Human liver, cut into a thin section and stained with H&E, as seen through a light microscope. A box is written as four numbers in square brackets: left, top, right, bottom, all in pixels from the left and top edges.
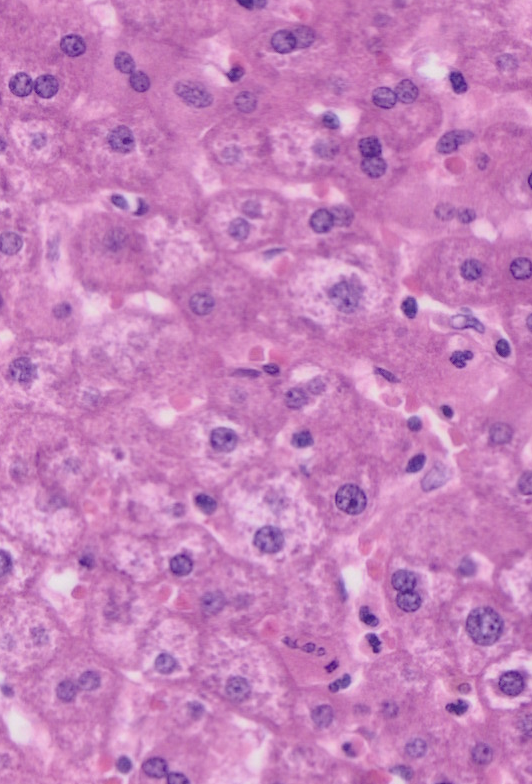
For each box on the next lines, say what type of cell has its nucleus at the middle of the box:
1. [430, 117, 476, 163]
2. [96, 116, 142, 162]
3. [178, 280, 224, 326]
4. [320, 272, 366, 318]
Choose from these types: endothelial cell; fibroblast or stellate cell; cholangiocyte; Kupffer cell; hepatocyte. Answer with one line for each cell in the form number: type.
1: Kupffer cell
2: hepatocyte
3: hepatocyte
4: hepatocyte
